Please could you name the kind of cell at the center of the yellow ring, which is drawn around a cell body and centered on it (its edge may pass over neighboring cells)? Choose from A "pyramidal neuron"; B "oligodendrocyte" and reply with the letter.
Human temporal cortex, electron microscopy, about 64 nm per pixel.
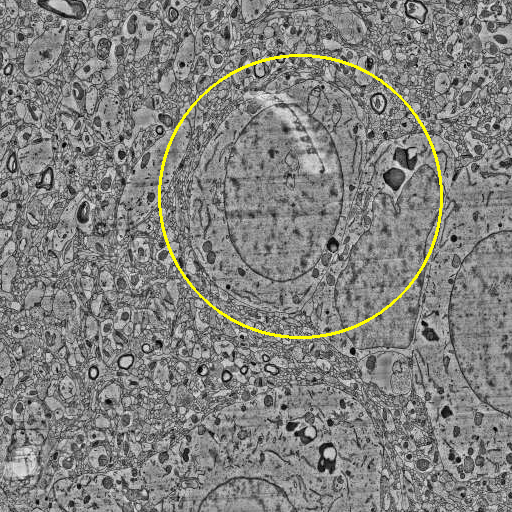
A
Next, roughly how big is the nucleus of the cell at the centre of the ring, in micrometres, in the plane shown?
The nucleus of the ringed cell is approximately 11 by 8 micrometres in this plane.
